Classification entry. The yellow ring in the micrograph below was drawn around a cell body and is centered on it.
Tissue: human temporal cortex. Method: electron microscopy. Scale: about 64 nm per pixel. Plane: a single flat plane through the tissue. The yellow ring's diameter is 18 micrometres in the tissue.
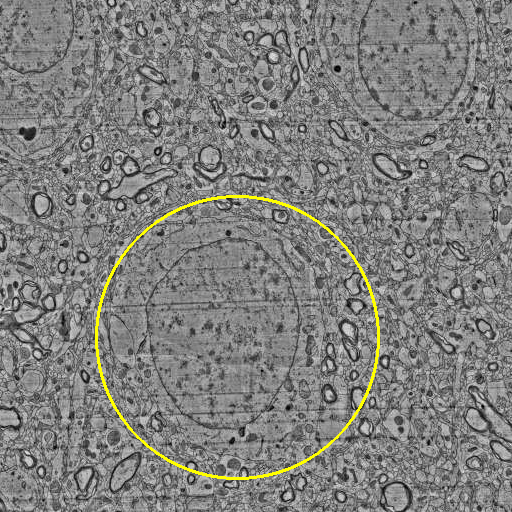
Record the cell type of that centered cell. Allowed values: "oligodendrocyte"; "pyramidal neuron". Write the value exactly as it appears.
pyramidal neuron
